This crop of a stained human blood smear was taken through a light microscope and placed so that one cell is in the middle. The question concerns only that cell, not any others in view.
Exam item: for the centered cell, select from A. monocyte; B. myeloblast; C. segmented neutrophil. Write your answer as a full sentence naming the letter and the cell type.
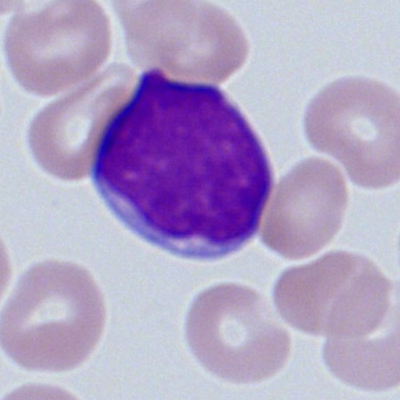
Option B, which names the central cell as a myeloblast, is correct.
